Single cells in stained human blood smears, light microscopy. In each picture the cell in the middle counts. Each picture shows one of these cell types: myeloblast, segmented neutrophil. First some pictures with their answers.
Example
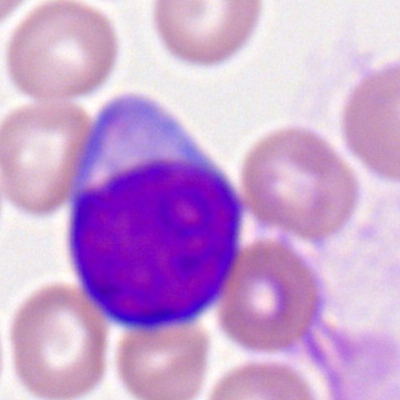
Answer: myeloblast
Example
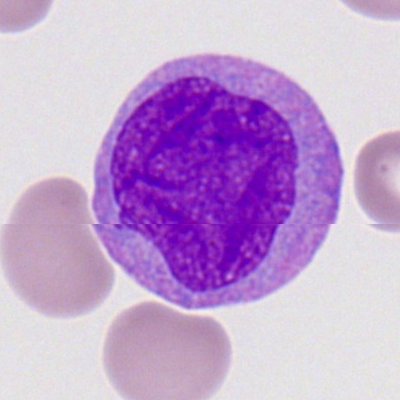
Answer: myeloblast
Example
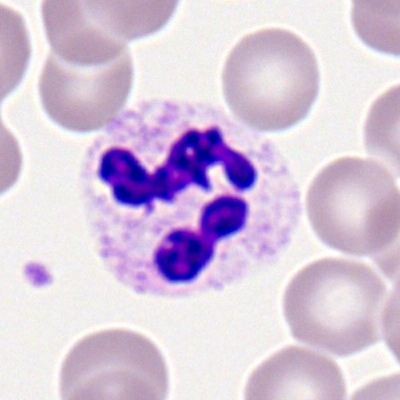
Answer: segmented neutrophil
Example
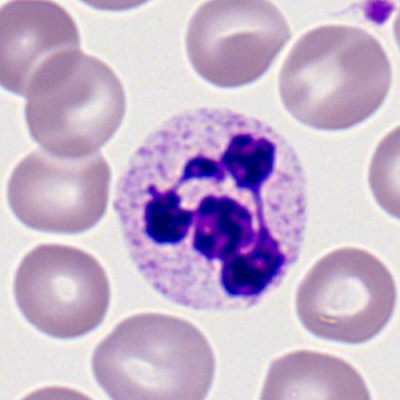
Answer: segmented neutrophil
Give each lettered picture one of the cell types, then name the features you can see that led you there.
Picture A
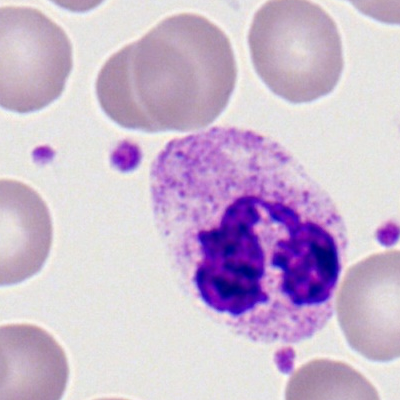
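segmented neutrophil: The cytoplasm is abundant and pale pinkish-lilac.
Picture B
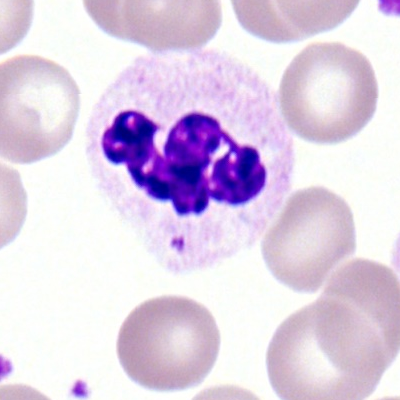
segmented neutrophil: The cytoplasm forms a wide rim around the nucleus.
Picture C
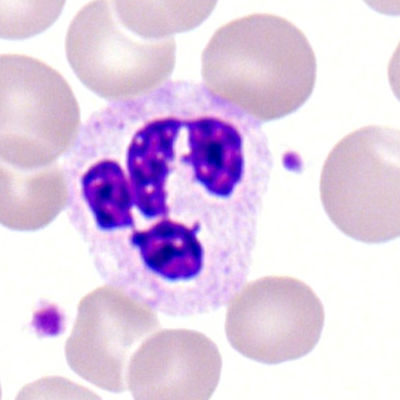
segmented neutrophil: The cytoplasm is abundant around the nuclear lobes.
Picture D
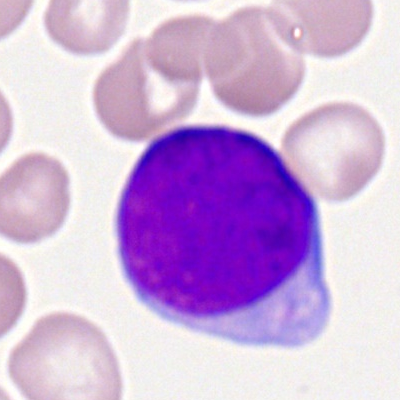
myeloblast: The nucleus fills most of the cell.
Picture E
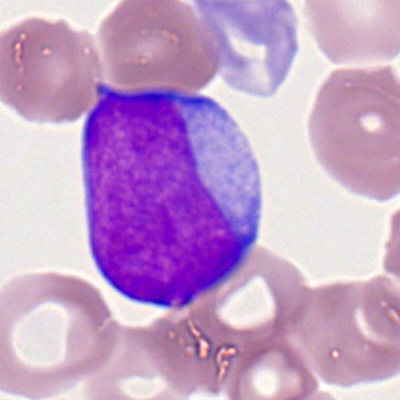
myeloblast: The nucleus is a single unlobed mass.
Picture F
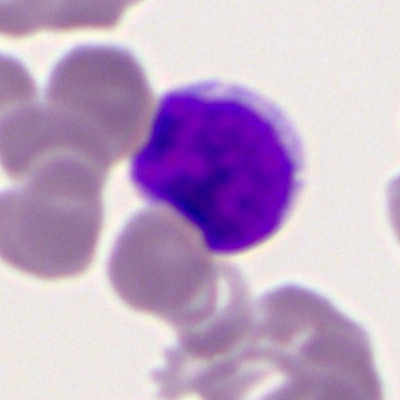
myeloblast: The nucleus fills most of the cell.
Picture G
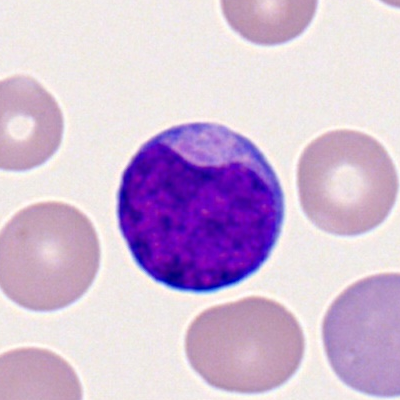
myeloblast: The nucleus fills most of the cell.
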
